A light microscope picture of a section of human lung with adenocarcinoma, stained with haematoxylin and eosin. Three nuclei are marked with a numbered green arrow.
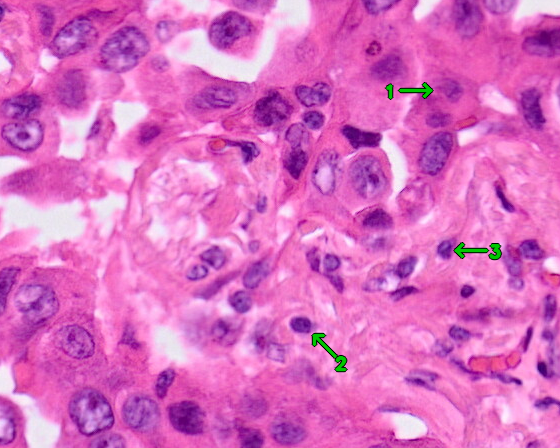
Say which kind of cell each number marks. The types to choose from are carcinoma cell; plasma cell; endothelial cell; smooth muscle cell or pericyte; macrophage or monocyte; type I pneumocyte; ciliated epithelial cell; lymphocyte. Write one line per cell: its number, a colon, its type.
1: carcinoma cell
2: lymphocyte
3: lymphocyte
